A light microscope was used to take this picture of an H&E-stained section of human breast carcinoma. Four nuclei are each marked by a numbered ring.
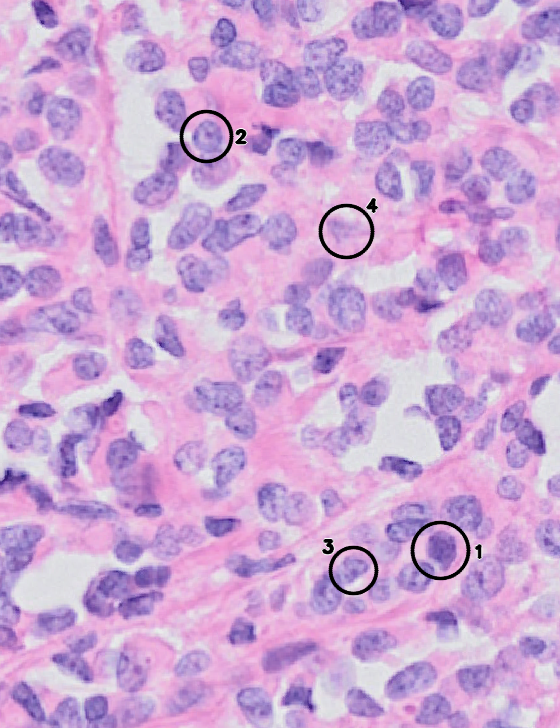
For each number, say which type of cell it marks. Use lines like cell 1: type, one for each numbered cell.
cell 1: carcinoma cell
cell 2: carcinoma cell
cell 3: carcinoma cell
cell 4: fibroblast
